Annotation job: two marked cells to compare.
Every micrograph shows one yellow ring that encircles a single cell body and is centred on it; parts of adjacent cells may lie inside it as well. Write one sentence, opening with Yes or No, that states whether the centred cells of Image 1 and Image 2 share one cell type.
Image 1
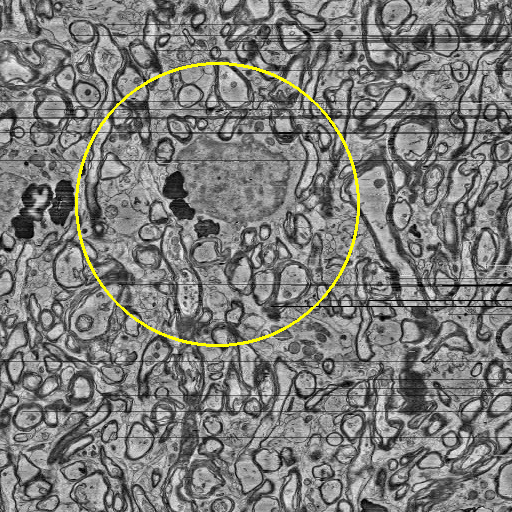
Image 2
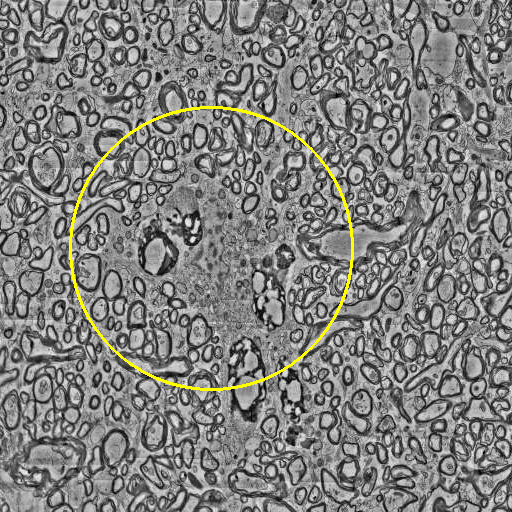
No, the cell centred in Image 1 and the cell centred in Image 2 are of two types.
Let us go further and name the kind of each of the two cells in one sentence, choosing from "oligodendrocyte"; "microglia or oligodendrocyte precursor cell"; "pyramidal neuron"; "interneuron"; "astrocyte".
The ring of the first picture is on an oligodendrocyte, the ring of the second on an astrocyte.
